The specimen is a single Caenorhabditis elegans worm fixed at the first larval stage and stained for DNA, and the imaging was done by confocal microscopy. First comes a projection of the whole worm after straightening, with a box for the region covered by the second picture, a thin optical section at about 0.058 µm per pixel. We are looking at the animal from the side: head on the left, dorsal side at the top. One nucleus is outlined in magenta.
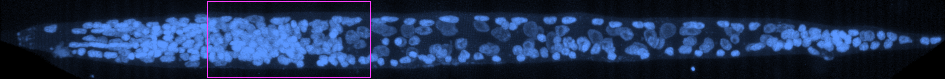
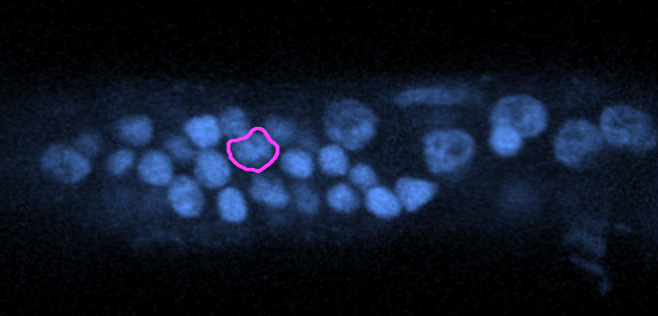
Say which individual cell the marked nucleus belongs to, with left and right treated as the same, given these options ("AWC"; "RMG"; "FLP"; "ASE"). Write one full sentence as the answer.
The marked cell is ASE, a neuron.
